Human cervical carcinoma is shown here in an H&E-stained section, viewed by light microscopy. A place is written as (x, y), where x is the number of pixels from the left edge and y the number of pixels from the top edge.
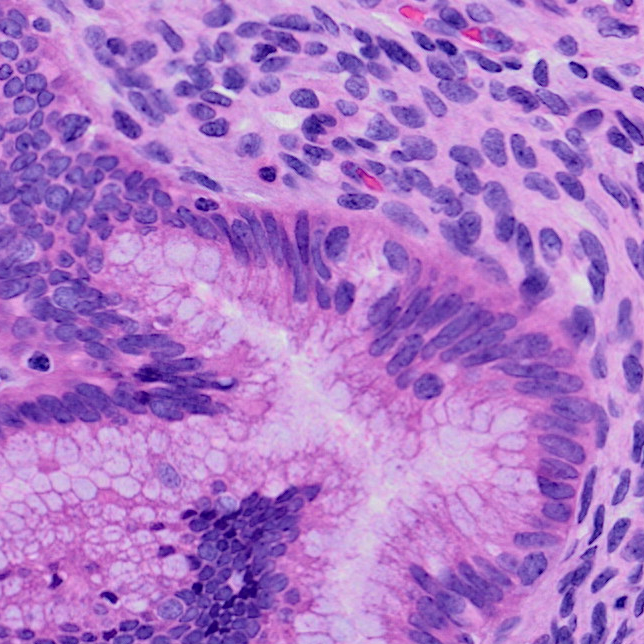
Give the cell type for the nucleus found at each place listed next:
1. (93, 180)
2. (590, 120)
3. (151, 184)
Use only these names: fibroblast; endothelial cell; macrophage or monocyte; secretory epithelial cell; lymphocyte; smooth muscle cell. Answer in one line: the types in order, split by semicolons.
secretory epithelial cell; fibroblast; secretory epithelial cell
